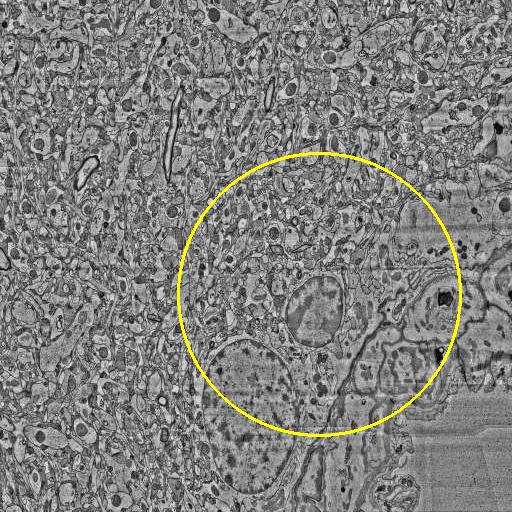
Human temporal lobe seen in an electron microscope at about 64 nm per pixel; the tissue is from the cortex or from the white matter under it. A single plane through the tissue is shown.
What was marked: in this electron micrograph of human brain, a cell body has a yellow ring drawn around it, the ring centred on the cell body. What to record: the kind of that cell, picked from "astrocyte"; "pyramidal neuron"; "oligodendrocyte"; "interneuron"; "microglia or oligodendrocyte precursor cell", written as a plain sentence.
The centred cell is a microglial cell or oligodendrocyte precursor cell.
